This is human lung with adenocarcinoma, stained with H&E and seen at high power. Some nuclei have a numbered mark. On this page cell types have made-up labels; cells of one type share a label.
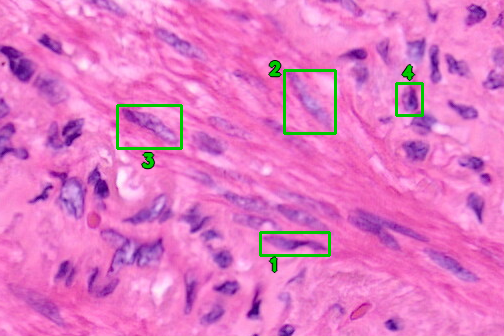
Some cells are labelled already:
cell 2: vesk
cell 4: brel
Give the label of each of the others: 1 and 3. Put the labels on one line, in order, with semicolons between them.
vesk; vesk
